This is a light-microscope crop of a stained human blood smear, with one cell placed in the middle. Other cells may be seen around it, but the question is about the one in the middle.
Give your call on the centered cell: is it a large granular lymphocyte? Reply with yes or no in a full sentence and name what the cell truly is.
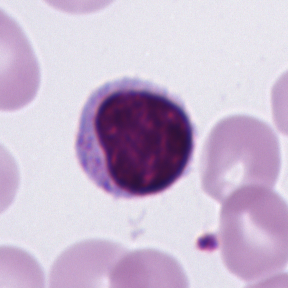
Yes, the cell sitting in the center is a large granular lymphocyte.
